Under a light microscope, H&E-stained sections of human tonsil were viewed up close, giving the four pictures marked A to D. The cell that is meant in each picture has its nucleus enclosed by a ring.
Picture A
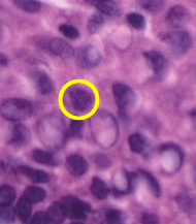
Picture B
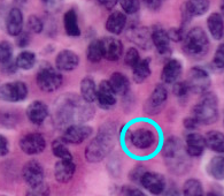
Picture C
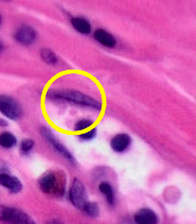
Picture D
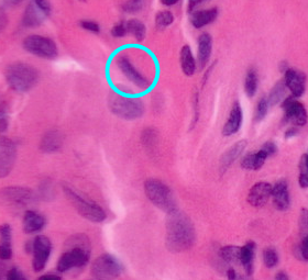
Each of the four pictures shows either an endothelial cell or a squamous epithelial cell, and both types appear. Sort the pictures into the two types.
A: squamous epithelial cell
B: endothelial cell
C: endothelial cell
D: endothelial cell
